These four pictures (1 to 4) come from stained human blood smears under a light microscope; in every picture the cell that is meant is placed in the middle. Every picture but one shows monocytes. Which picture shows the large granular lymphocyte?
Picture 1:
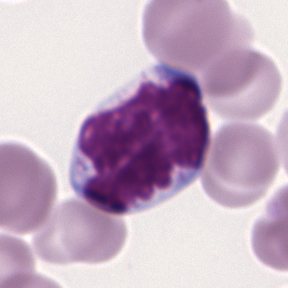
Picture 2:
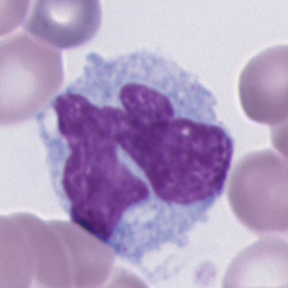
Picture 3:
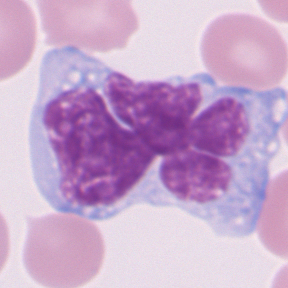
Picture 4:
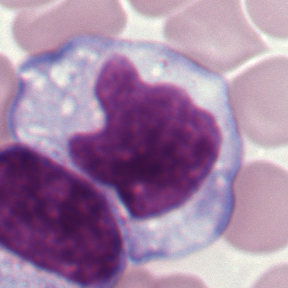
1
